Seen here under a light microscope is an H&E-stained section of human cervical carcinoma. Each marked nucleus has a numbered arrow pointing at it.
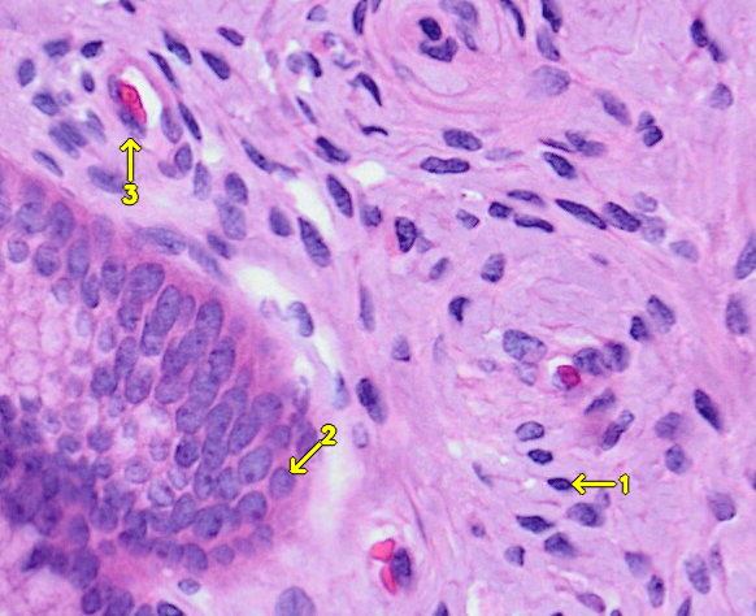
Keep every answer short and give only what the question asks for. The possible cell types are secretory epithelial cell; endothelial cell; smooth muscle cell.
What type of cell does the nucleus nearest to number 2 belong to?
secretory epithelial cell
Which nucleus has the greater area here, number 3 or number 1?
3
